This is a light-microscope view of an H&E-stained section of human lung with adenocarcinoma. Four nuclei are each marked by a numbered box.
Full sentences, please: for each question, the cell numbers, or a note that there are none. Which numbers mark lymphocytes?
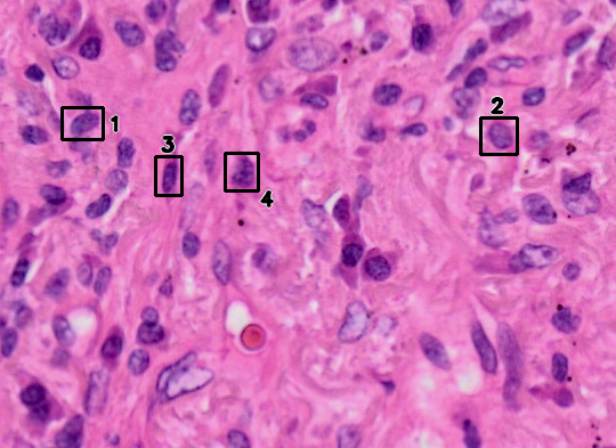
Only the cell at mark 1 is a lymphocyte, and no other marked cell is.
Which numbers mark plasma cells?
The cells assigned the numbers 3 and 4 are plasma cells.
